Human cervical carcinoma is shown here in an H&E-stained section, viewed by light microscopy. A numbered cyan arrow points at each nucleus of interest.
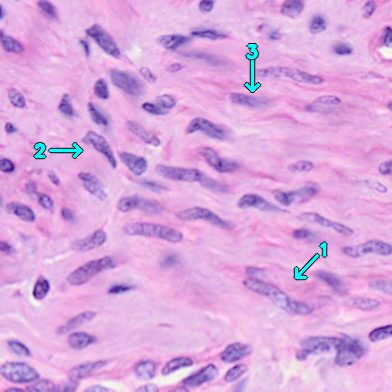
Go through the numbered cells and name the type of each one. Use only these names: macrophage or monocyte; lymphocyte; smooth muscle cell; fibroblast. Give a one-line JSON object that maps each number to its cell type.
{"1": "smooth muscle cell", "2": "fibroblast", "3": "smooth muscle cell"}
